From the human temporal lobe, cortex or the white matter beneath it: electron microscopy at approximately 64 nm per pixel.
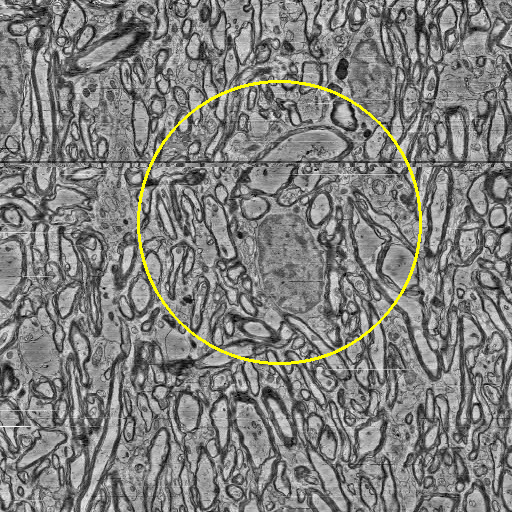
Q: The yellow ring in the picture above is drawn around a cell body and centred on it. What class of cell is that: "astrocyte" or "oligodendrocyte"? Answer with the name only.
oligodendrocyte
